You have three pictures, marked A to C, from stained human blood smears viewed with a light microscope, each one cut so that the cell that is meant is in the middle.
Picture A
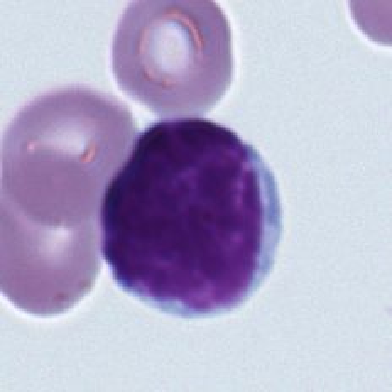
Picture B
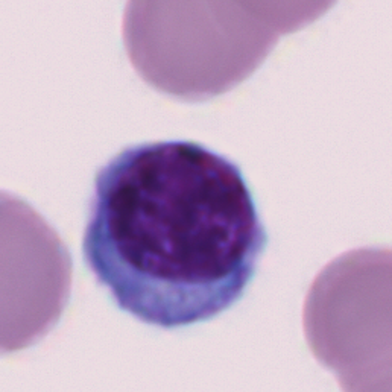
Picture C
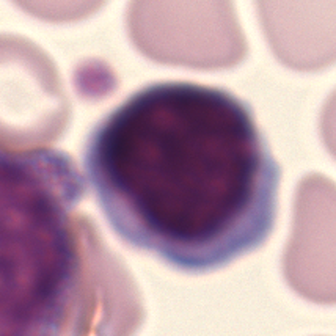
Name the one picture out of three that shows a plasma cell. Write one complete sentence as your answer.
The picture with the plasma cell is B.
